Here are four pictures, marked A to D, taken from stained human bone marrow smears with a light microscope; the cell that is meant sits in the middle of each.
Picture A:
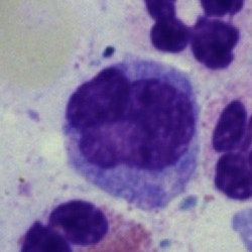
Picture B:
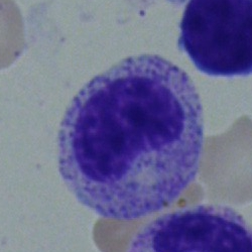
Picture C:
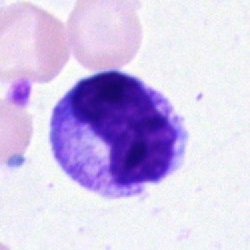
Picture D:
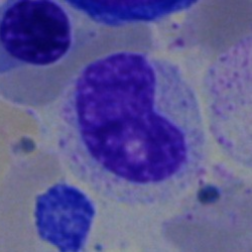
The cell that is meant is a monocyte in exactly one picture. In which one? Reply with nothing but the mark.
A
